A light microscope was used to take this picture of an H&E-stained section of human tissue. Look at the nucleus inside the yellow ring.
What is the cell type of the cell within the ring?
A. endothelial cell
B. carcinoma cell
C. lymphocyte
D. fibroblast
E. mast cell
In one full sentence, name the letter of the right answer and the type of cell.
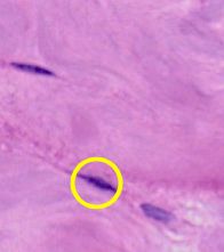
In short, option D: the cell within the ring is a fibroblast.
